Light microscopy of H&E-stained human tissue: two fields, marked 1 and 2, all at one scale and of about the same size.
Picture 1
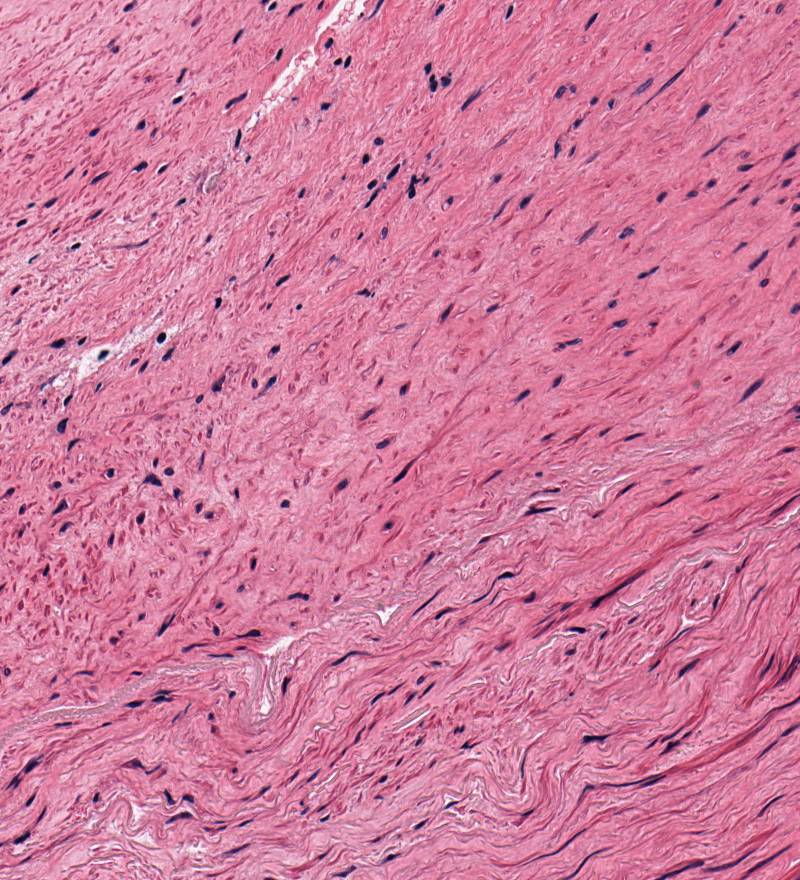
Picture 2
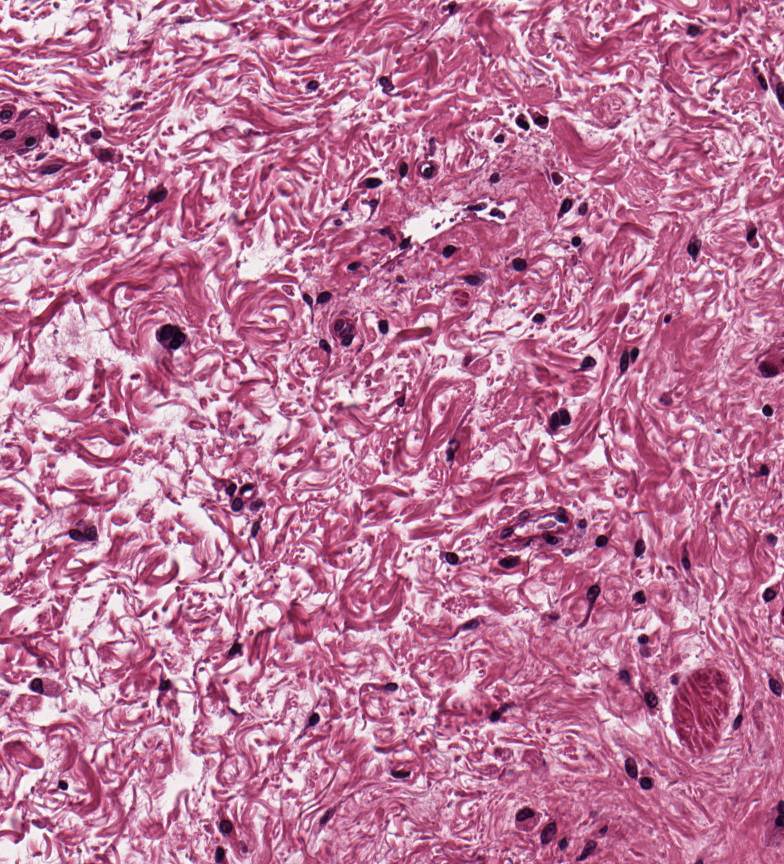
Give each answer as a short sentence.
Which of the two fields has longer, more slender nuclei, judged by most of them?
The nuclei are more elongated in picture 1.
